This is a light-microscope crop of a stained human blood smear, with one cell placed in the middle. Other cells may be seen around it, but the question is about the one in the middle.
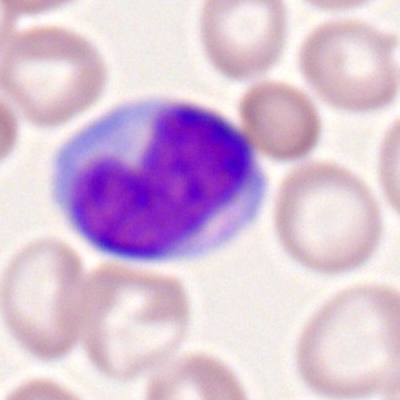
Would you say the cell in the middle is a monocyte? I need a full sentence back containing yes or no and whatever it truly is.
Yes, the cell placed centrally within the crop is a monocyte.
